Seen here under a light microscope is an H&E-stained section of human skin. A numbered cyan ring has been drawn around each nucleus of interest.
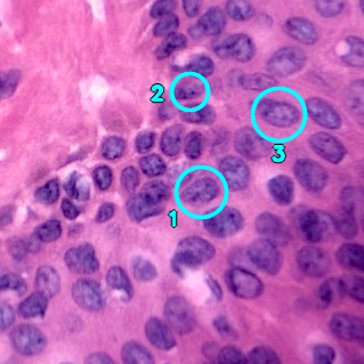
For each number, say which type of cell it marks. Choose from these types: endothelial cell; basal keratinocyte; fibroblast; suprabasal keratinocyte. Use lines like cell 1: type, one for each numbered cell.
cell 1: basal keratinocyte
cell 2: basal keratinocyte
cell 3: suprabasal keratinocyte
